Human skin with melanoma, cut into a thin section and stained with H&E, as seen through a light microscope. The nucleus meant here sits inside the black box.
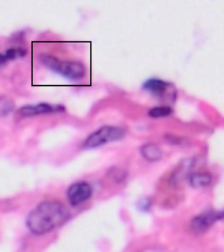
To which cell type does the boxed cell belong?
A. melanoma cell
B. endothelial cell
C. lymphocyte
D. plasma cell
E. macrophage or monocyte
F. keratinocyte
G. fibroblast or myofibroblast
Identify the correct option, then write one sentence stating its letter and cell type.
Option E is the one to take: the boxed cell is a macrophage or monocyte.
